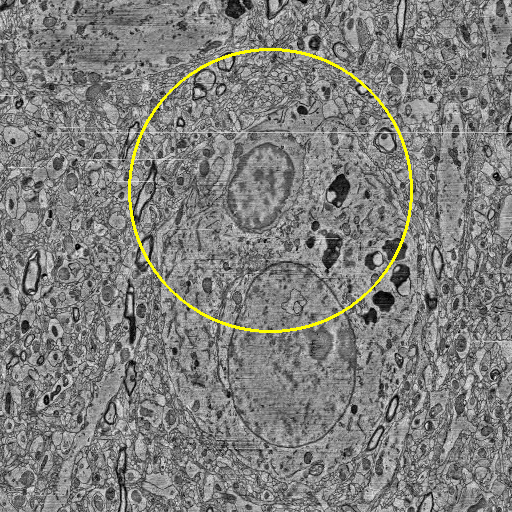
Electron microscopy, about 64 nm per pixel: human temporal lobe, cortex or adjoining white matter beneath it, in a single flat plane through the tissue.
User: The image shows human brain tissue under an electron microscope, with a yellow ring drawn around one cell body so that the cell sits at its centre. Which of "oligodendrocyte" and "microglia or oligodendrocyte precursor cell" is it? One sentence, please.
At the centre of the ring sits an oligodendrocyte.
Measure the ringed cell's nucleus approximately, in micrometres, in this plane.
Roughly 6 micrometres long and 4 micrometres wide; in this plane the nucleus is clearly longer than it is wide.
